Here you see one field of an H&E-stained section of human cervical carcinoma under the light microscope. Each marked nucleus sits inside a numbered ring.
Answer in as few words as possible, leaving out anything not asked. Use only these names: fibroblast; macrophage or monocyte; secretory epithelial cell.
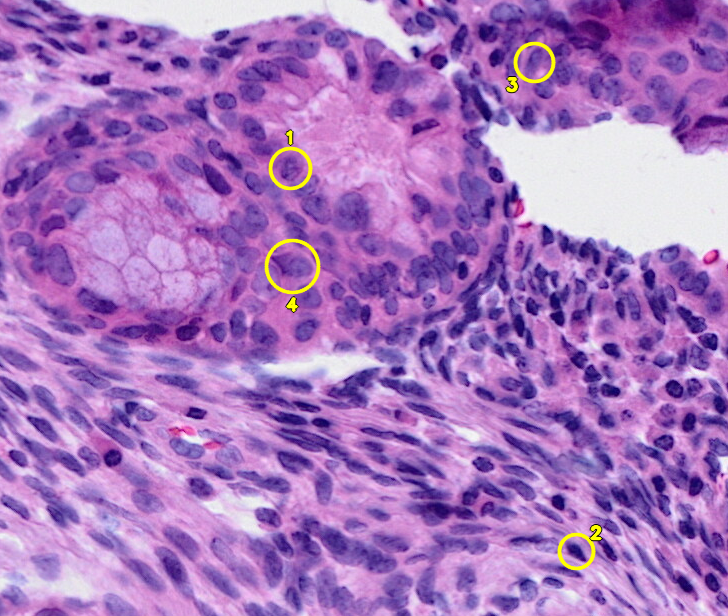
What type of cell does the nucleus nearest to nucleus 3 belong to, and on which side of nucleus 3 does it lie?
a secretory epithelial cell to the left of nucleus 3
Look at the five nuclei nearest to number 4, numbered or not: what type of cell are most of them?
secretory epithelial cell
